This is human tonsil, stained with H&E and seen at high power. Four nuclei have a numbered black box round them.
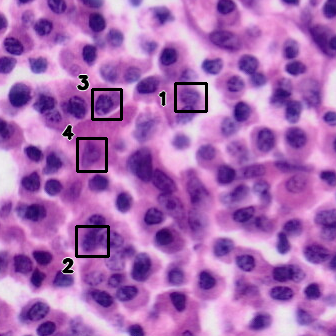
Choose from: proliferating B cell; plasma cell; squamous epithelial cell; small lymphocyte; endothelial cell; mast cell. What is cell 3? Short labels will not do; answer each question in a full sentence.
The cell assigned the number 3 is a plasma cell.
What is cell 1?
The one numbered 1 among the marked cells is a plasma cell.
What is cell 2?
The cell with the number 2 is a plasma cell.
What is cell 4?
Number 4 among the marked cells is a squamous epithelial cell.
